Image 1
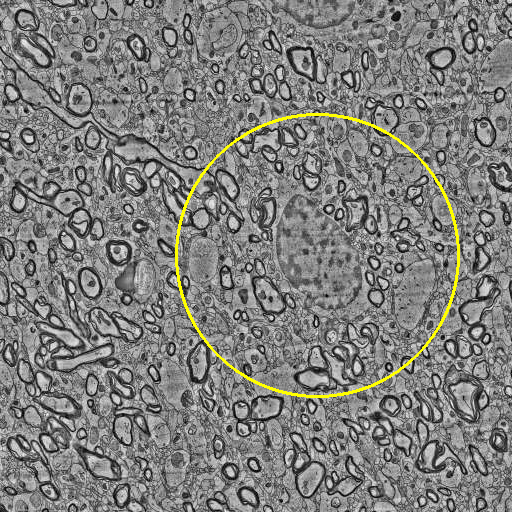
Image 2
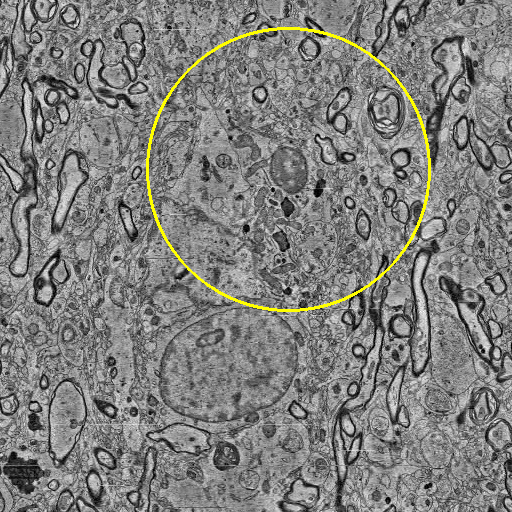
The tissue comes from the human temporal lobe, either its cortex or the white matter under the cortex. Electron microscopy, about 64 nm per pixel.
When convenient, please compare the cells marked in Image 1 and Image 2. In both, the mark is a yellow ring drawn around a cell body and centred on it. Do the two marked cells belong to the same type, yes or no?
no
